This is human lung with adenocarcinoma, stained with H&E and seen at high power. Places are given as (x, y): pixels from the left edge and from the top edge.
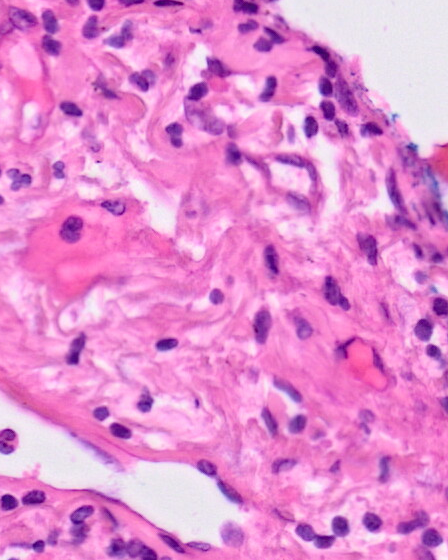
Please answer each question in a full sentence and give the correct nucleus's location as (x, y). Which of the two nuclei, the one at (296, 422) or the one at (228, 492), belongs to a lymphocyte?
Assigned to a lymphocyte is the nucleus located at (296, 422).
